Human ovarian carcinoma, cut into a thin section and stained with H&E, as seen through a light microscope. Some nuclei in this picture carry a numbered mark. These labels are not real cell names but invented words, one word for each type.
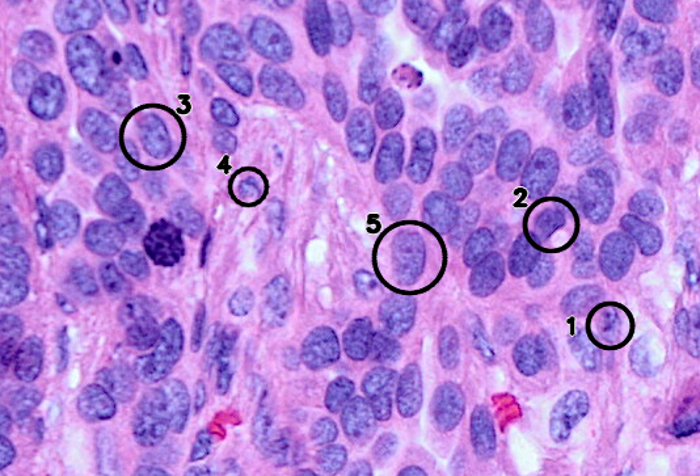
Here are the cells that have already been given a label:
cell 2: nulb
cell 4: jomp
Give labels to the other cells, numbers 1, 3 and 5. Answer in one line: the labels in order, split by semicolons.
jomp; nulb; nulb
